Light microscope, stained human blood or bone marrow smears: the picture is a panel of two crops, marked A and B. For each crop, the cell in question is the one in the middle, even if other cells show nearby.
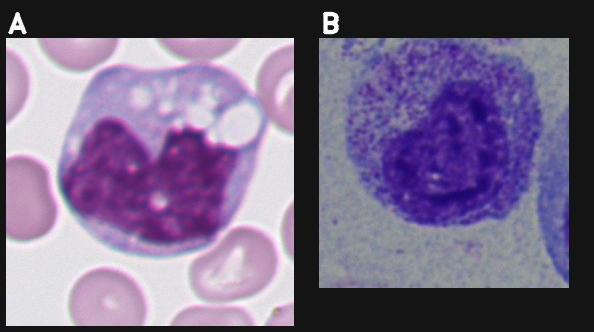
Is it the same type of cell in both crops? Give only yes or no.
no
